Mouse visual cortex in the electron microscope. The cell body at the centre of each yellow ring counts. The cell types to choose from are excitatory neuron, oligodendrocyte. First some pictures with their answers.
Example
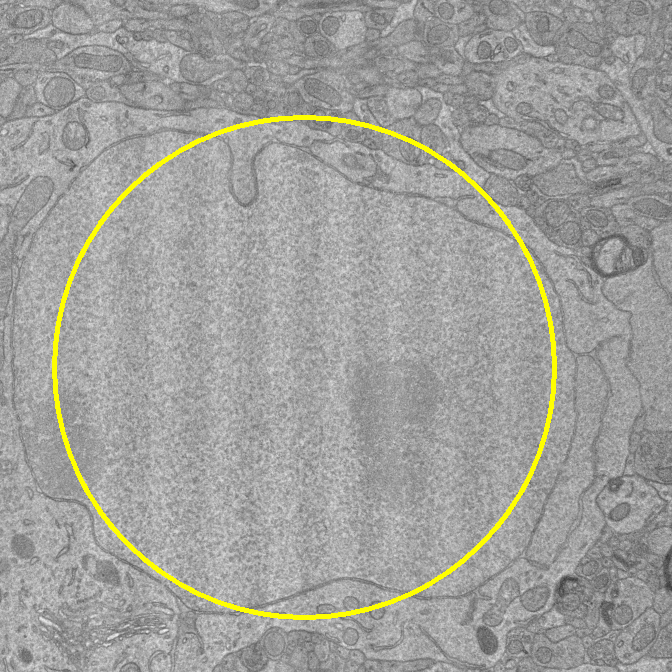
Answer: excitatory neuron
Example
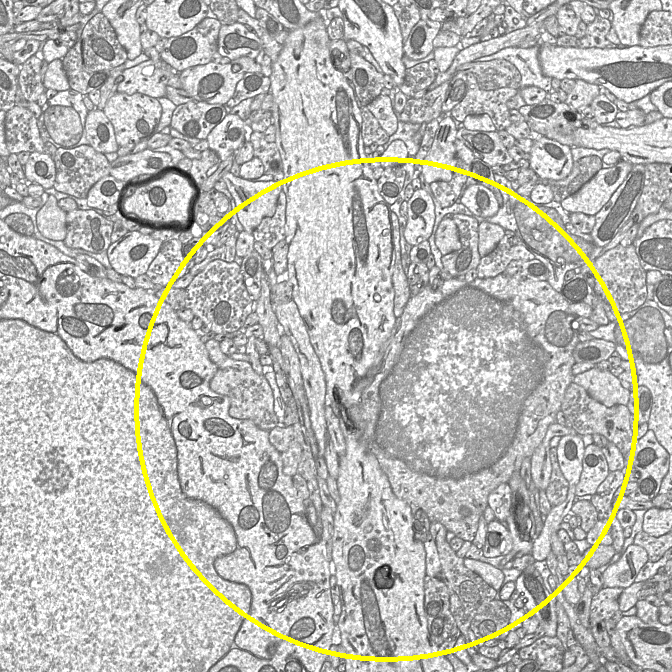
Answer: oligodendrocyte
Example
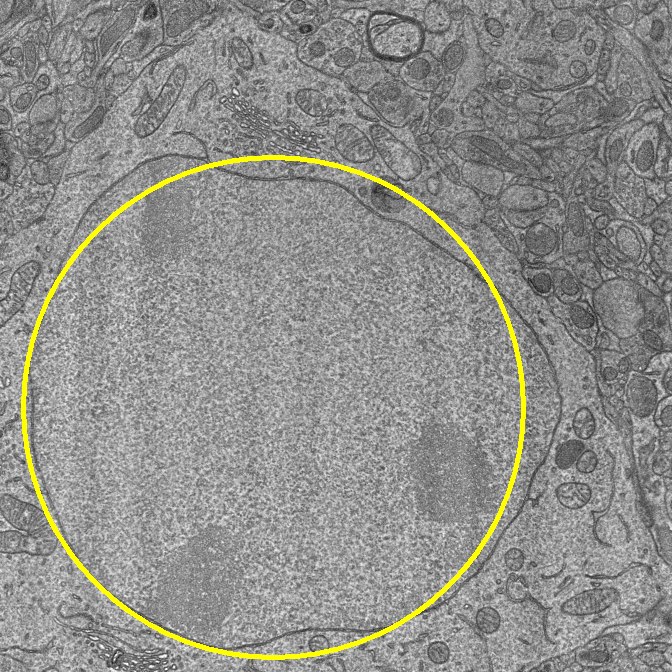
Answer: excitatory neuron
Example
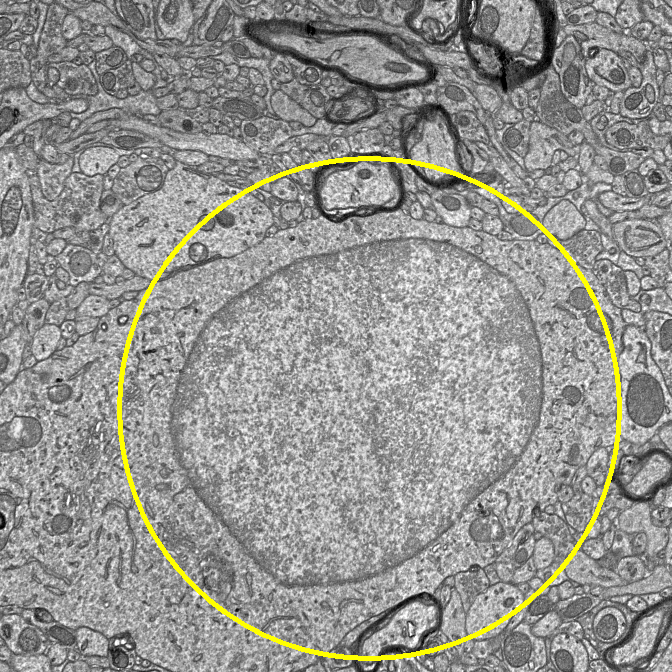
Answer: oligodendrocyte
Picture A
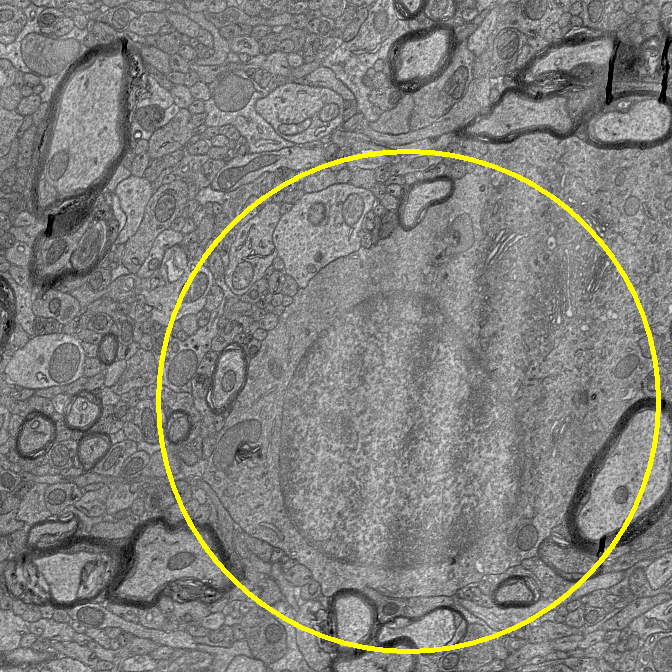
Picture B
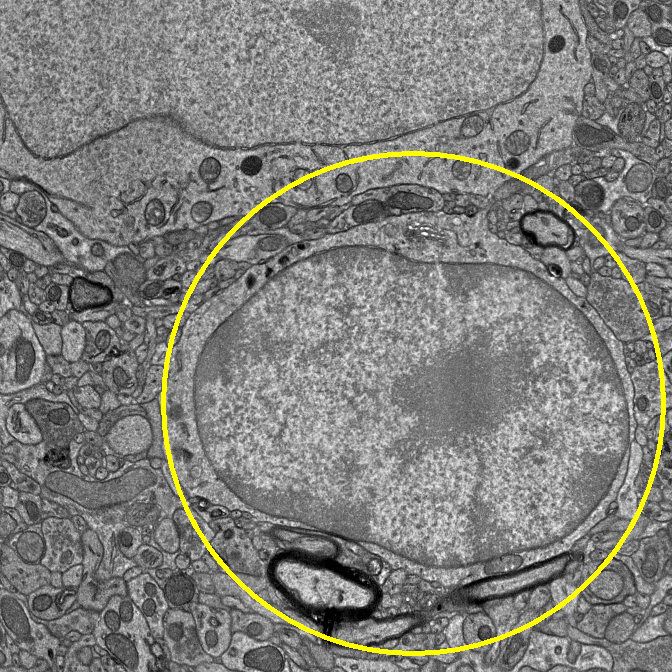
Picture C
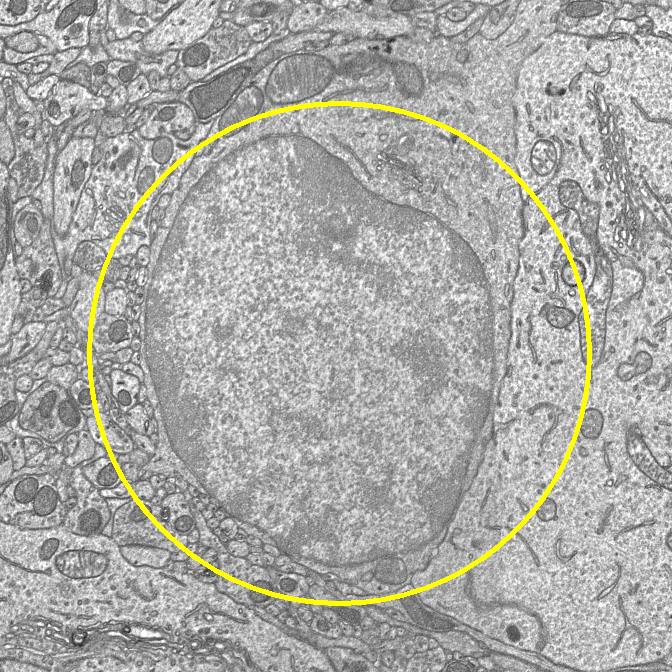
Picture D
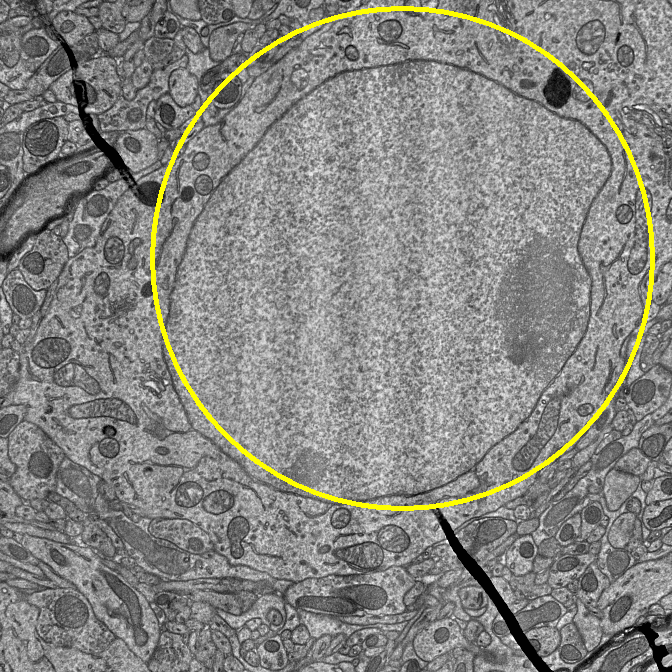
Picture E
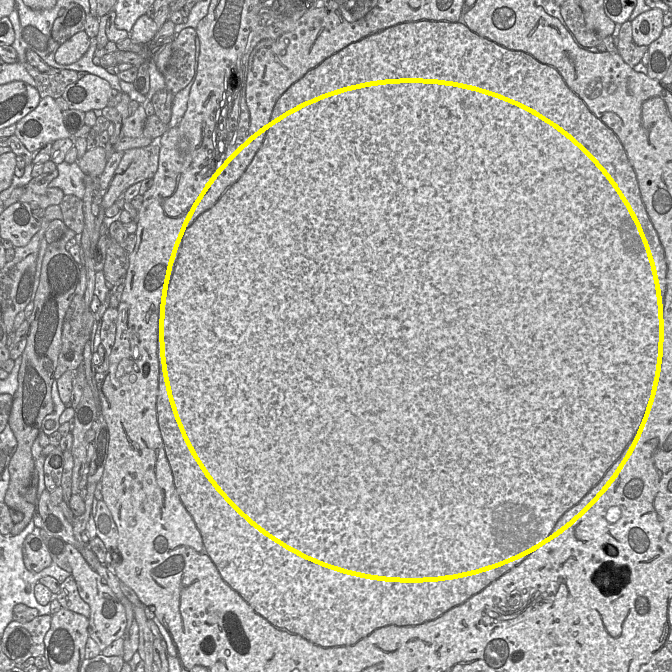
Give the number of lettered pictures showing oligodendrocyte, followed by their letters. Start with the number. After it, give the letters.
3: A, B, C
